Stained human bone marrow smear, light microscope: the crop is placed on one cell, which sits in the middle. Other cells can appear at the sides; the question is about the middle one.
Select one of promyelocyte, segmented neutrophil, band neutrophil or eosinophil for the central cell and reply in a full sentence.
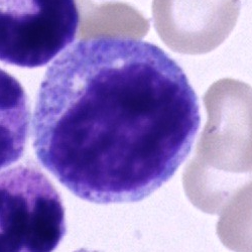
The center cell of this crop is a promyelocyte.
